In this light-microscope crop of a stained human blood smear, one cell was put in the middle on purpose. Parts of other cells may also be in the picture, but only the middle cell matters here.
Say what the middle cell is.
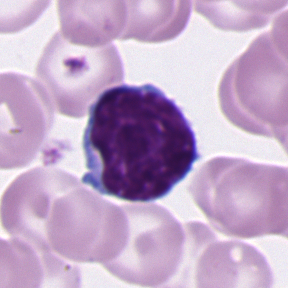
typical lymphocyte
